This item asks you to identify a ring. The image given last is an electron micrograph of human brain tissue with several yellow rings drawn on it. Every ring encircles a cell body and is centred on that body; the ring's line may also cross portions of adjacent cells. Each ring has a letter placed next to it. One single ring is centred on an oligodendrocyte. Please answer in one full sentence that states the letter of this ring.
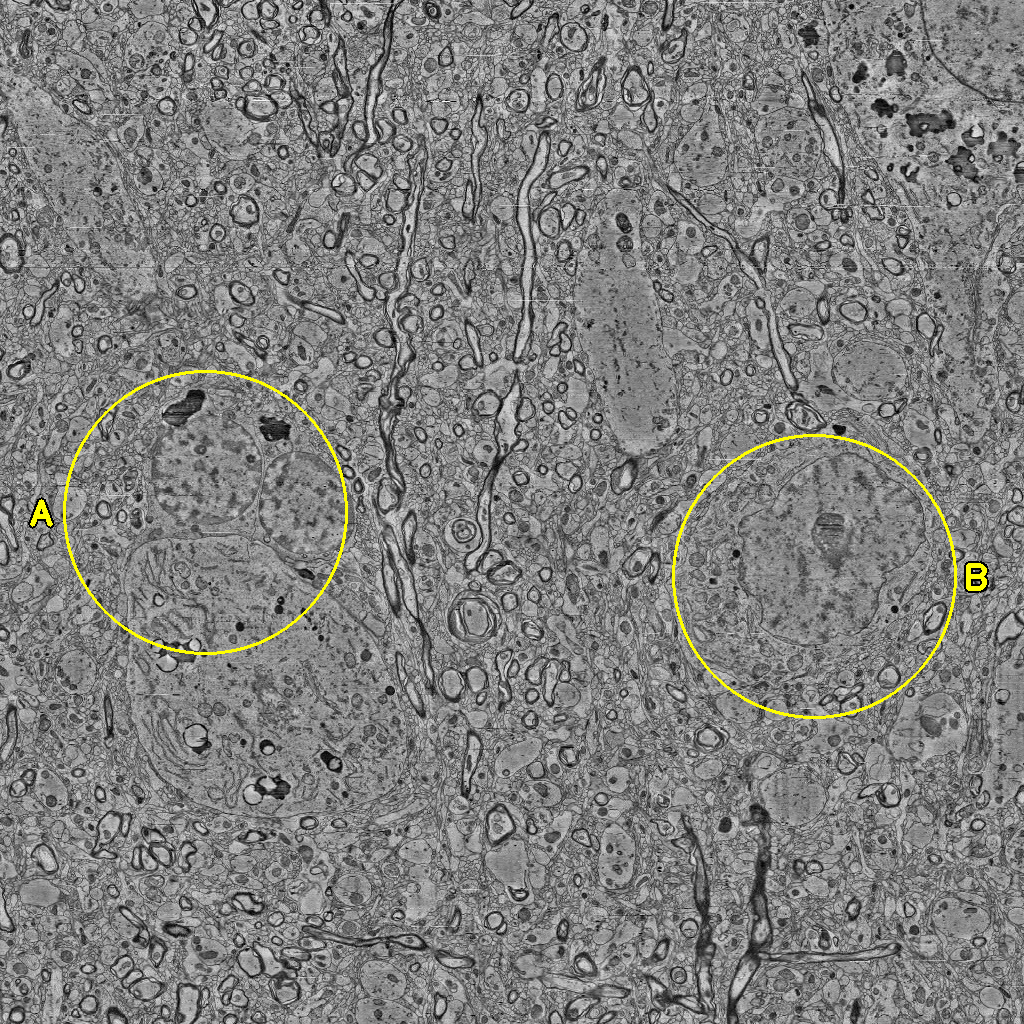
My answer is letter A, the ring centred on the cell asked for.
